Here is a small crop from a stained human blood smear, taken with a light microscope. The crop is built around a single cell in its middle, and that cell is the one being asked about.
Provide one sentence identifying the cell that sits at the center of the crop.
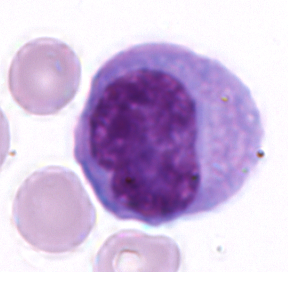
The cell shown in the center of this light-microscope crop is a plasma cell.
